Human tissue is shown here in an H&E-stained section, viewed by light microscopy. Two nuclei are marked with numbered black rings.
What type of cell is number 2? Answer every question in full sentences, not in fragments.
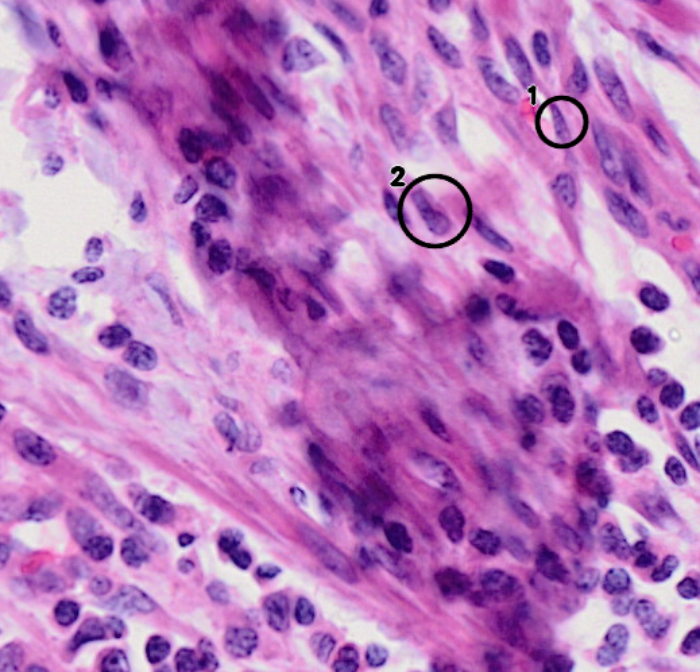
The cell that bears the number 2 is a macrophage or monocyte.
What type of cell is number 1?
Denoted by the label 1 in the section is an endothelial cell.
